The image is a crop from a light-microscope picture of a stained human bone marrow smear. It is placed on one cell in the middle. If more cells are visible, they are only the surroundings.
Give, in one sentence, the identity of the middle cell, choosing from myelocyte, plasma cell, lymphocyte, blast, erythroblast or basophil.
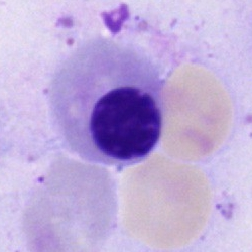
The cell under consideration, at the middle of the crop, is an erythroblast.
